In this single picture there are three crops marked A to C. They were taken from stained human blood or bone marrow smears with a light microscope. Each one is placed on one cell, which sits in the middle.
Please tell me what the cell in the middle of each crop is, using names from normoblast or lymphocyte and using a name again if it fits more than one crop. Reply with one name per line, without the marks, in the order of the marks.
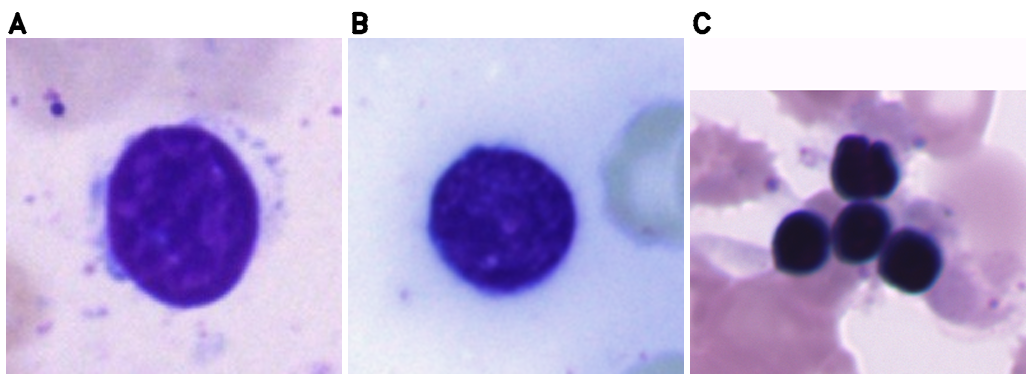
lymphocyte
lymphocyte
normoblast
